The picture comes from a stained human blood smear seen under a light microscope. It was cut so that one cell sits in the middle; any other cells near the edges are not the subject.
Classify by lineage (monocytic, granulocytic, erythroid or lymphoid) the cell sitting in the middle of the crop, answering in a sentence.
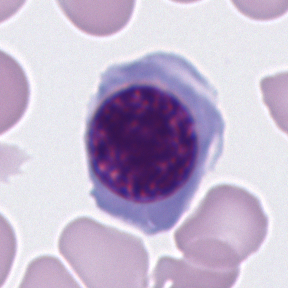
The cell occupying the center of the frame is part of the erythroid lineage.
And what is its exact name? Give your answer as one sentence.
The centered cell in this crop is a normoblast.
